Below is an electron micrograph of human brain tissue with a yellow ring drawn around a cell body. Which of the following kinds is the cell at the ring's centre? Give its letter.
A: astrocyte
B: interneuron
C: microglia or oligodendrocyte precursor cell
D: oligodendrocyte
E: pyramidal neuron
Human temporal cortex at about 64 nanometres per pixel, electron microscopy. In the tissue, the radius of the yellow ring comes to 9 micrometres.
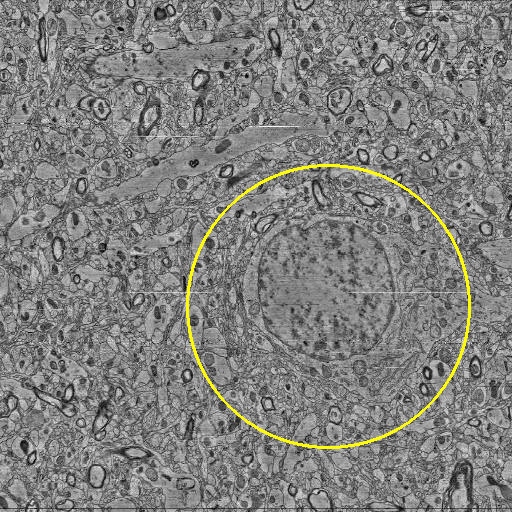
B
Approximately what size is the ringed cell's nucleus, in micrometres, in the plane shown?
Approximately 9 micrometers across in this plane.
